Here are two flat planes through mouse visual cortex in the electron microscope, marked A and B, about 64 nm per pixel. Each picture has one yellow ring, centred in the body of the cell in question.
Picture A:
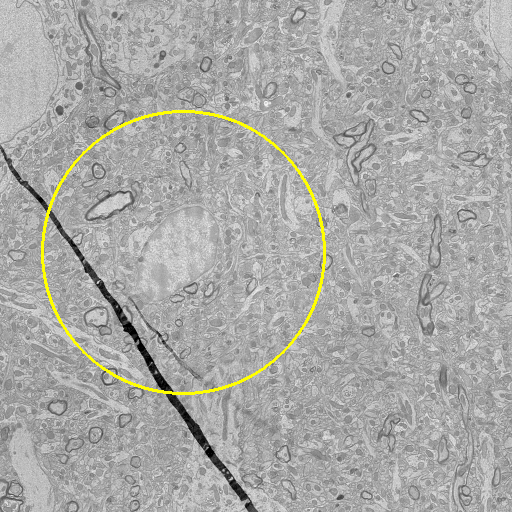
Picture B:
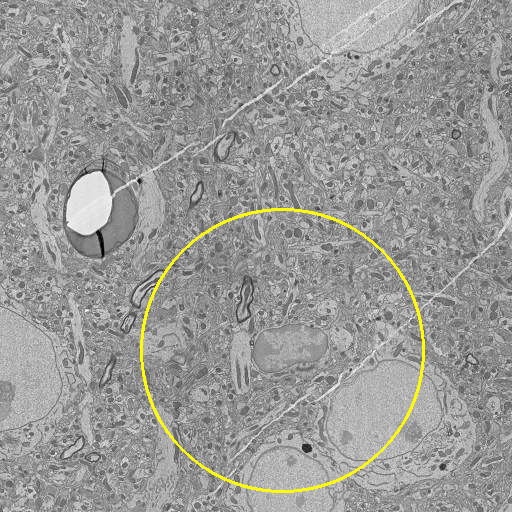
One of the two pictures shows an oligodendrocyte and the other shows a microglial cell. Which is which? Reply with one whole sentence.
The cell in picture A is an oligodendrocyte, and the one in picture B is a microglial cell.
